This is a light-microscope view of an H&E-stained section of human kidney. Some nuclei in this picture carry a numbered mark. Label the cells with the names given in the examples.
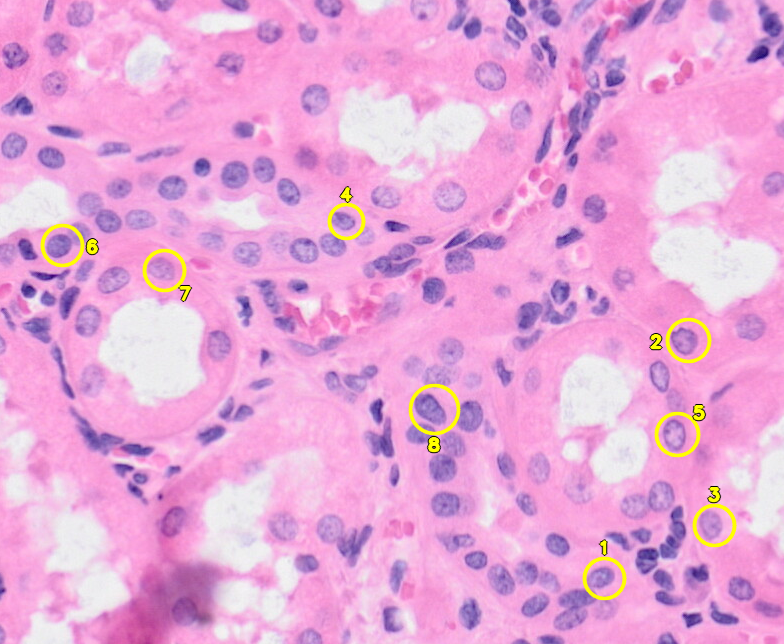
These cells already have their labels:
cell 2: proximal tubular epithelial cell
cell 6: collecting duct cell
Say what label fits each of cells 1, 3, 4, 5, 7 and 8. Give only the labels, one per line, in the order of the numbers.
collecting duct cell
proximal tubular epithelial cell
collecting duct cell
proximal tubular epithelial cell
proximal tubular epithelial cell
collecting duct cell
